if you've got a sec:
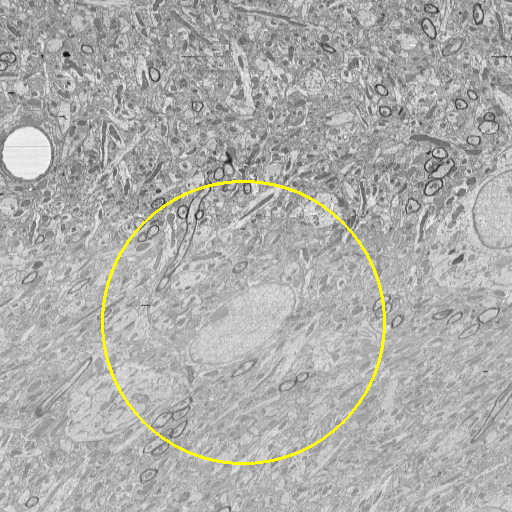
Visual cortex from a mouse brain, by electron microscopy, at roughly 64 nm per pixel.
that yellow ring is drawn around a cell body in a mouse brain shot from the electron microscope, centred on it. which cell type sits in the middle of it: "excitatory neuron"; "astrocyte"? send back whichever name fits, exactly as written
astrocyte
